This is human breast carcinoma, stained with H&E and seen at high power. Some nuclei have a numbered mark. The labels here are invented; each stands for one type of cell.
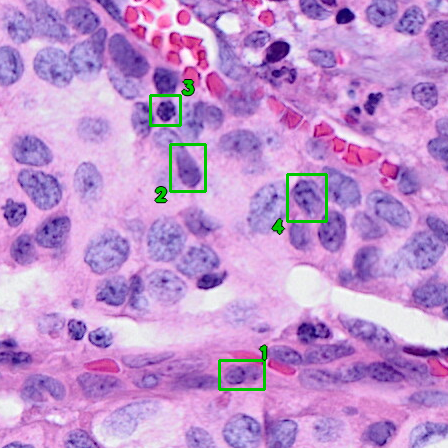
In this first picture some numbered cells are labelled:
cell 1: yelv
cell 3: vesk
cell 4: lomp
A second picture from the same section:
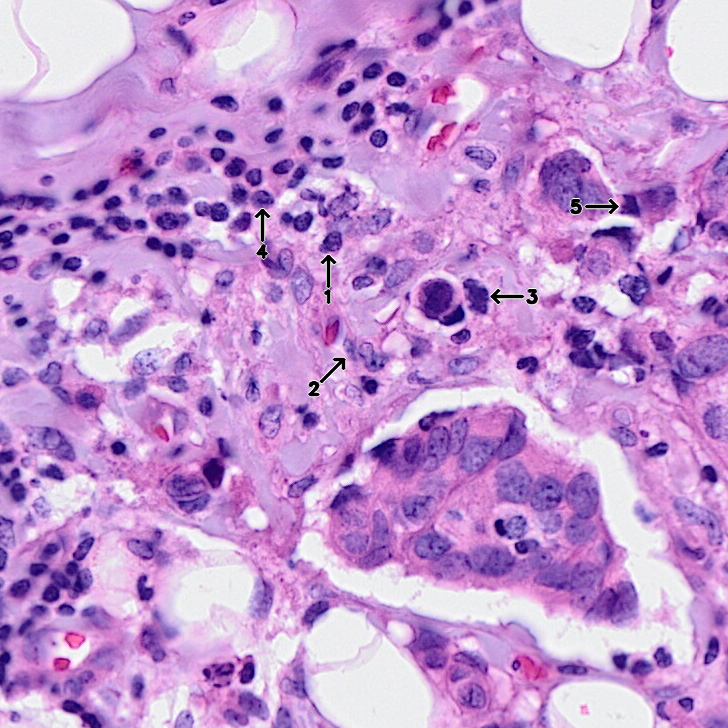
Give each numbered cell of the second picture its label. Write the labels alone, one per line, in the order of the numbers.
vesk
yelv
lomp
vesk
lomp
